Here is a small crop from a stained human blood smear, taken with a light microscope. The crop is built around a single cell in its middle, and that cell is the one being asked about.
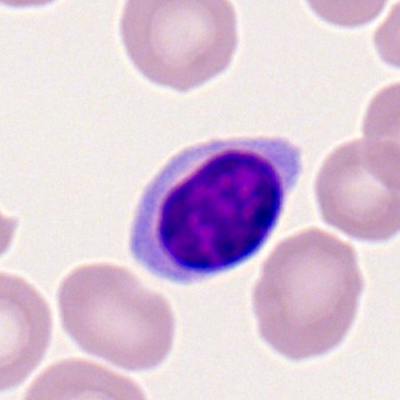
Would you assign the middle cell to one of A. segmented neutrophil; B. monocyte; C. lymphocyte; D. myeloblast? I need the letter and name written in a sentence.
The one cell at the centre is a lymphocyte, as correctly stated in option C.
